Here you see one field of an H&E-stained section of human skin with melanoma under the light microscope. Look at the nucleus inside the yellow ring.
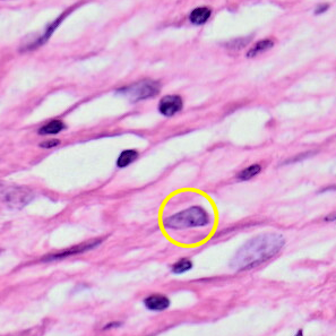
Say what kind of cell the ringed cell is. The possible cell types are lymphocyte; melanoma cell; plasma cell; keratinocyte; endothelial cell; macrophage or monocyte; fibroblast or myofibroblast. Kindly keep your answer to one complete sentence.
As far as its identity is concerned, the ringed cell is a fibroblast or myofibroblast.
